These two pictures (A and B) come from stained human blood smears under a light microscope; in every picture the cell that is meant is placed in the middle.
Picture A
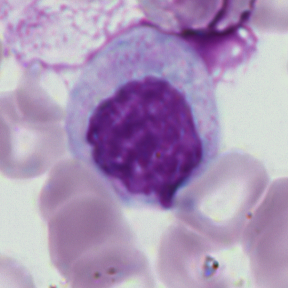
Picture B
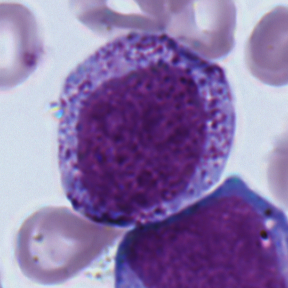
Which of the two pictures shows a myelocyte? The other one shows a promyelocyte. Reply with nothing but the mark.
A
